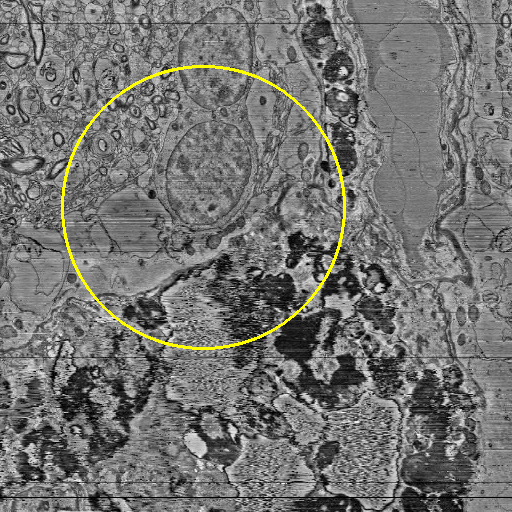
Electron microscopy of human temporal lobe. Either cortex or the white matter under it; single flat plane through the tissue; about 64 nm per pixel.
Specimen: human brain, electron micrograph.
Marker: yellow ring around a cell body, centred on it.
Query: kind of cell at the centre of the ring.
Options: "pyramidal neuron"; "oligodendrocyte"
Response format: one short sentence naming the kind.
This cell body belongs to an oligodendrocyte.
